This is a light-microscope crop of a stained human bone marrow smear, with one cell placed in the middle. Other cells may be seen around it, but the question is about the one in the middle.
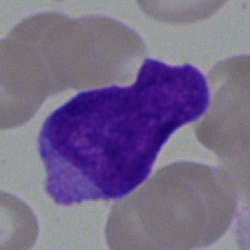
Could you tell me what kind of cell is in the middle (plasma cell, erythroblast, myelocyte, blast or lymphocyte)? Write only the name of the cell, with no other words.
blast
